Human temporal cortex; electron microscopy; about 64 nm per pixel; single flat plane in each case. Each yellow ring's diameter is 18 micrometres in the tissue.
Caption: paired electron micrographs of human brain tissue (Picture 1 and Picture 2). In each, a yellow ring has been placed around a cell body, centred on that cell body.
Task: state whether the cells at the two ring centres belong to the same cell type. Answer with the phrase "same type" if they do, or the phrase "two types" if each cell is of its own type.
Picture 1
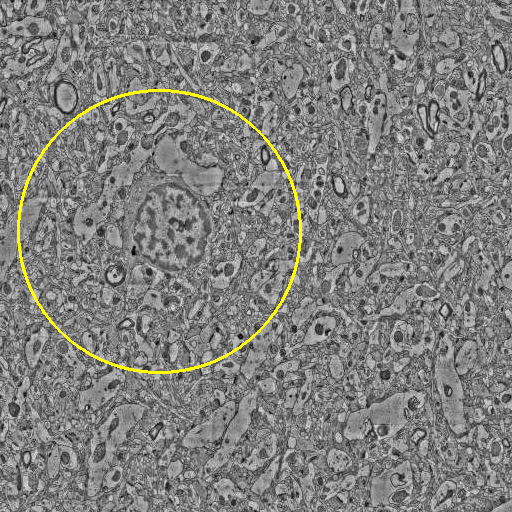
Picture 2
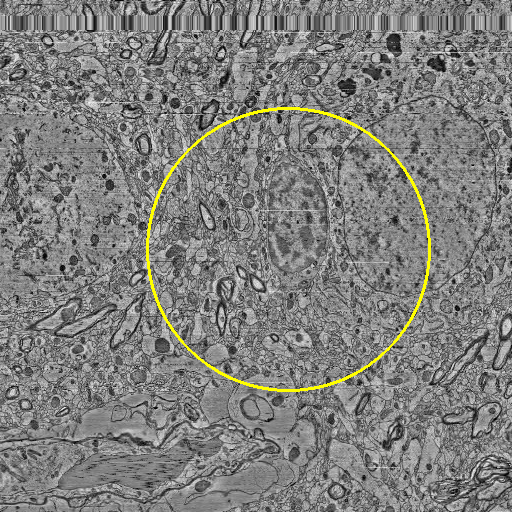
same type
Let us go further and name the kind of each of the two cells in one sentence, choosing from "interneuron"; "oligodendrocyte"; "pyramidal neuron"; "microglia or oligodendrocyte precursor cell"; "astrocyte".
Each cell at the centre of a ring is an oligodendrocyte.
